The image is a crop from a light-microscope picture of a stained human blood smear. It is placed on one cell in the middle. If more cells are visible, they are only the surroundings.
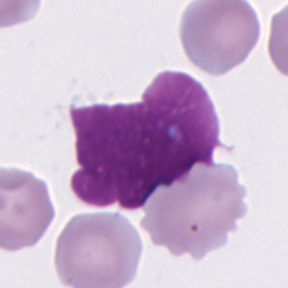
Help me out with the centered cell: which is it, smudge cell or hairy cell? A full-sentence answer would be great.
Present in the middle of the crop is a smudge cell.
